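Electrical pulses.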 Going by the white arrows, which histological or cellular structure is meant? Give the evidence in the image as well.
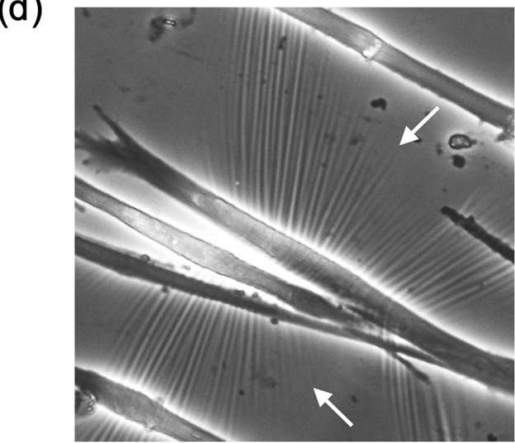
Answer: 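Fine, regularly spaced bright and dark lines lie in the cell-free background. The lines run roughly perpendicular to the long cells, fanning out from their edges.
Hence: wrinkles on the substrate.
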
